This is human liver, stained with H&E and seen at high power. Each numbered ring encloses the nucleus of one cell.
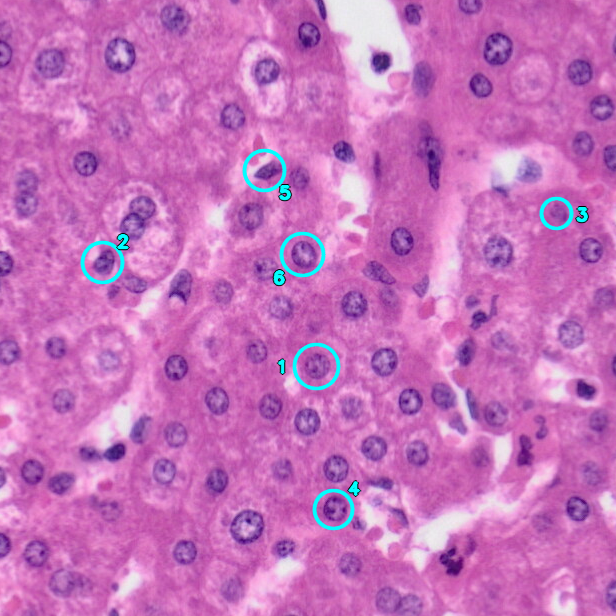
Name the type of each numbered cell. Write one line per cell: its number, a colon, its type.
1: hepatocyte
2: Kupffer cell
3: hepatocyte
4: hepatocyte
5: endothelial cell
6: hepatocyte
